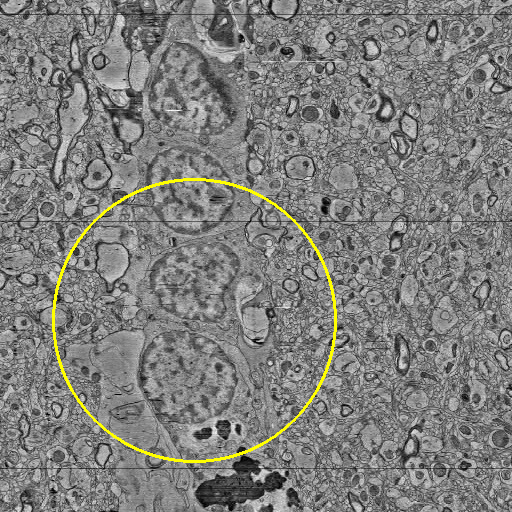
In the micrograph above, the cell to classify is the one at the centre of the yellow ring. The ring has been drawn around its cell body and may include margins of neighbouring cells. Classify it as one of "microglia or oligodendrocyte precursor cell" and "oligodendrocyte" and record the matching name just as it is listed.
oligodendrocyte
